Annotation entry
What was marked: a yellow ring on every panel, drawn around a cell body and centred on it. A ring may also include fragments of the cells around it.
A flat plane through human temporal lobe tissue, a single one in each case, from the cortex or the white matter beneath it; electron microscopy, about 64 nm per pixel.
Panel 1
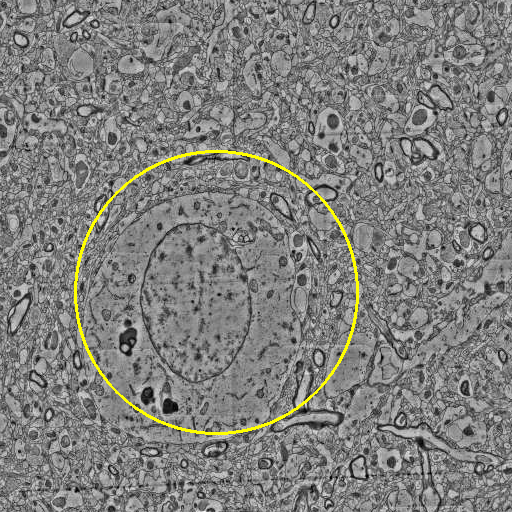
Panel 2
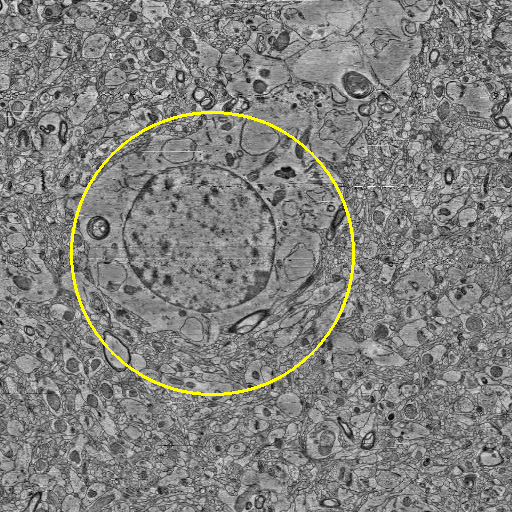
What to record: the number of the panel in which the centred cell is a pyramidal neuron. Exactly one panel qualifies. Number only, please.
1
